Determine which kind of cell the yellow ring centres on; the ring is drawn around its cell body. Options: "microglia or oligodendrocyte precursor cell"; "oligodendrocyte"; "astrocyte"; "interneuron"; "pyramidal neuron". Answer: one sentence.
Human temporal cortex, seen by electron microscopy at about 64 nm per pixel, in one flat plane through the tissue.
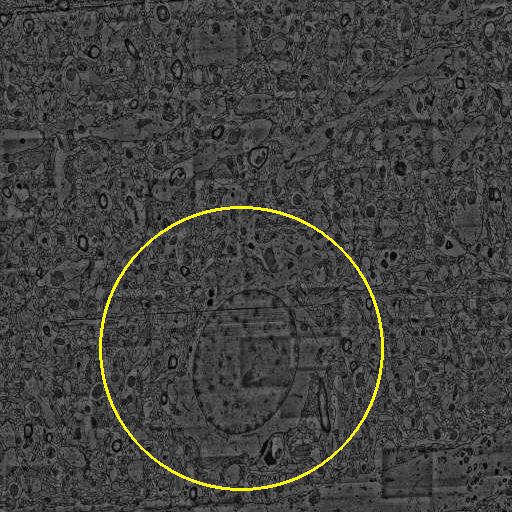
The ring centres on an astrocyte.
